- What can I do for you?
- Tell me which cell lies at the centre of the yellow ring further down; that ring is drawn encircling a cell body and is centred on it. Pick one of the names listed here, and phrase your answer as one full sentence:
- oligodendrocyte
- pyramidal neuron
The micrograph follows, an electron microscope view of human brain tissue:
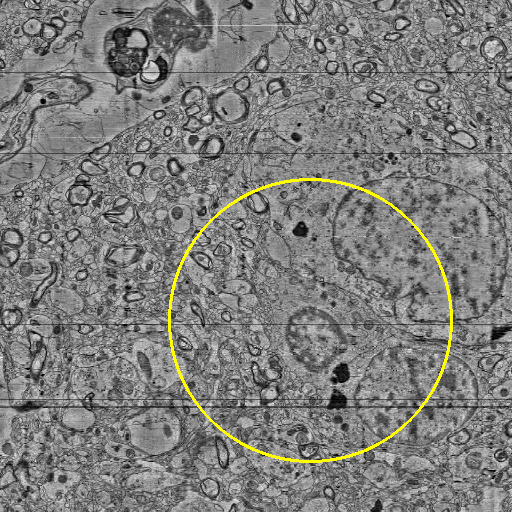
The cell whose body lies at the centre of the yellow ring is an oligodendrocyte.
